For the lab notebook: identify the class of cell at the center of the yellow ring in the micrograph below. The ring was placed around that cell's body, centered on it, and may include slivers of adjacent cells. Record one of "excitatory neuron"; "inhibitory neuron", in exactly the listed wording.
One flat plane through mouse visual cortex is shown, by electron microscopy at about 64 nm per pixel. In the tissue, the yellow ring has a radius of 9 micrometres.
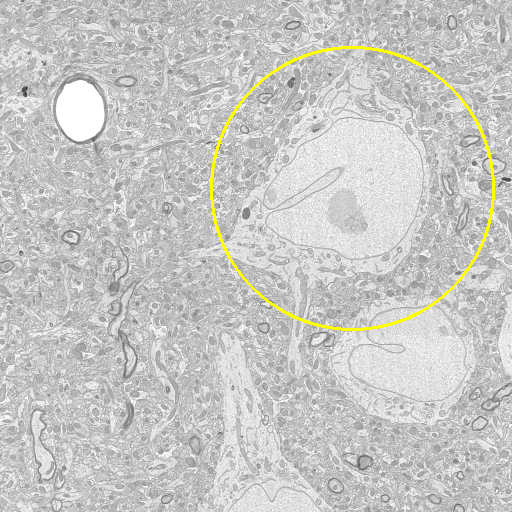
excitatory neuron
